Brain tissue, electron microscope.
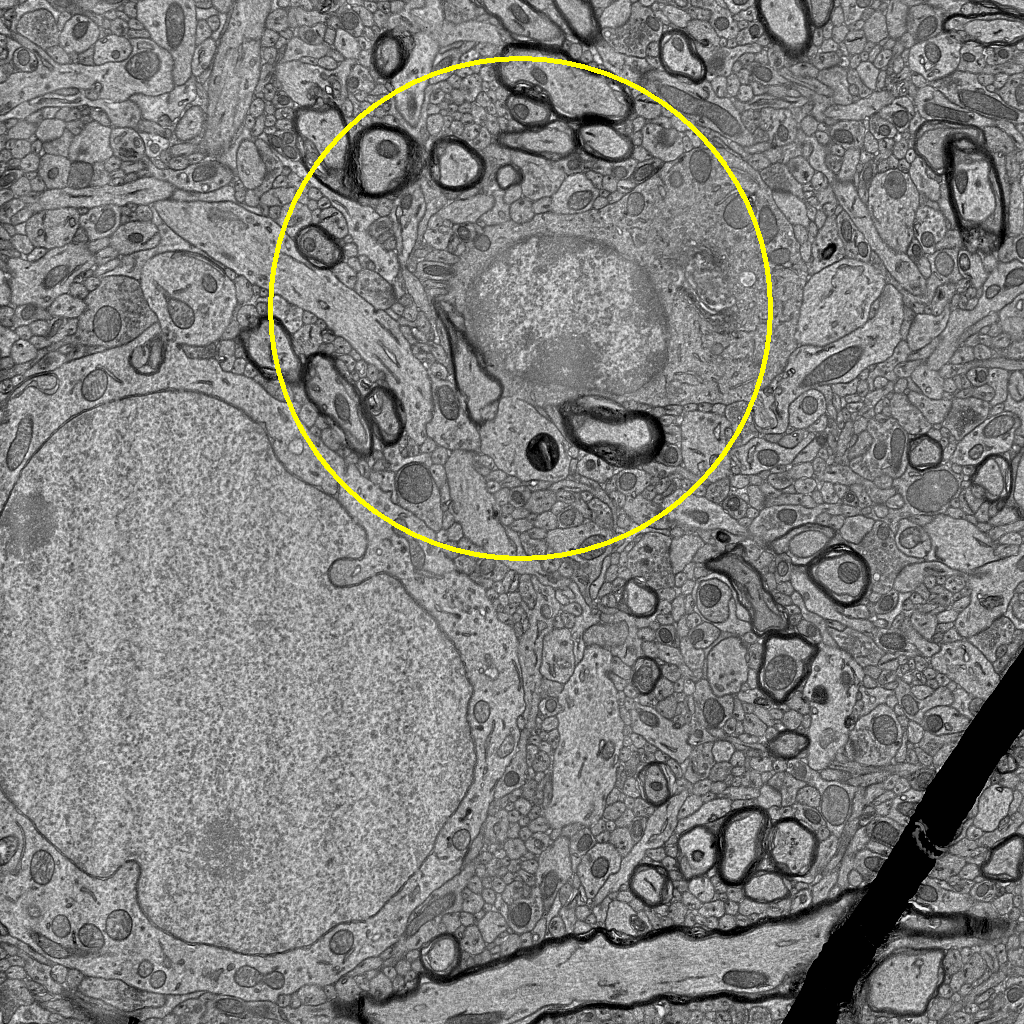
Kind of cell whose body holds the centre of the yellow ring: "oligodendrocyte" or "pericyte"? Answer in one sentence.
The ring's centre falls on an oligodendrocyte.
